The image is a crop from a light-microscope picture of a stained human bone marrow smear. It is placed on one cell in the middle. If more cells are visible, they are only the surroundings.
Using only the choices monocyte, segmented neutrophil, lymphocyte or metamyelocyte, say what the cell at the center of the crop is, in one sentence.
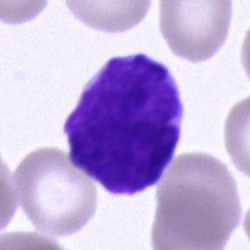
The cell positioned in the middle of the field is a lymphocyte.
